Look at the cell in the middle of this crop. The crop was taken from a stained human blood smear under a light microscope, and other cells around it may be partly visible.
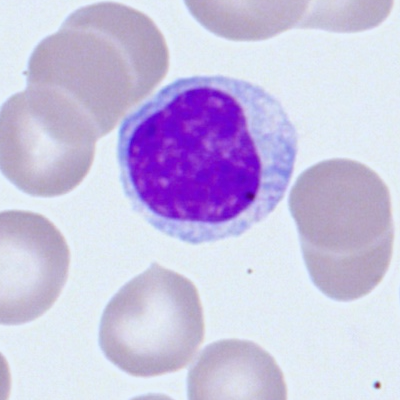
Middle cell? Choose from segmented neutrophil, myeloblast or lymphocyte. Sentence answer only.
The cell of interest, in the center, is a lymphocyte.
